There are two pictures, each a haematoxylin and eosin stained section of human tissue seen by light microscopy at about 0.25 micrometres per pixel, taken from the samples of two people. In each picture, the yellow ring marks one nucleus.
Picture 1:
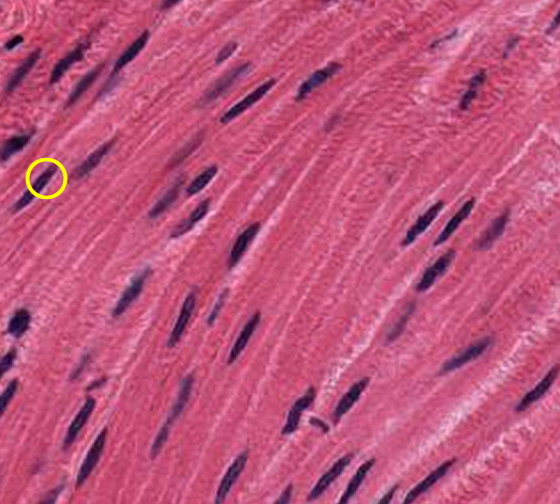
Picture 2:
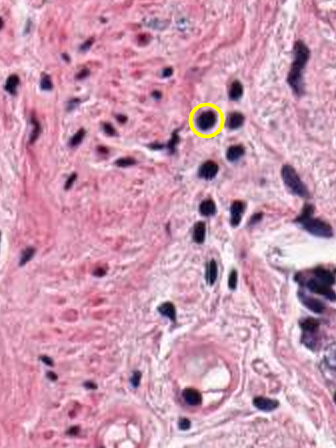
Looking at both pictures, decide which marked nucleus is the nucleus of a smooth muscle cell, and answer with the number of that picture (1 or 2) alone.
1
